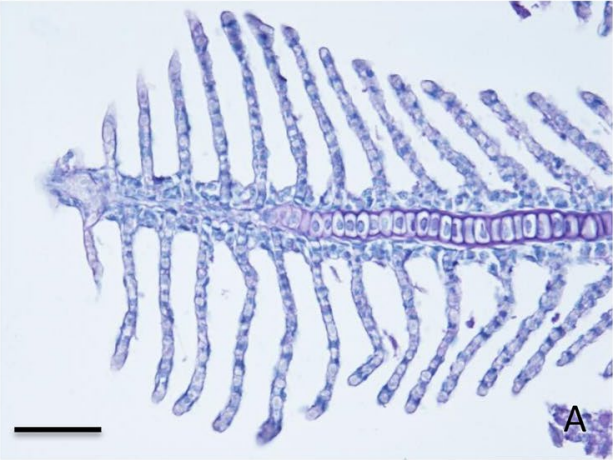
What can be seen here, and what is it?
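Gill filament with its lamellae, cut lengthwise. A central axis runs horizontally and carries a supporting rod made of a single row of box-like cells with purple-rimmed walls and pale interiors. The axis is covered by several layers of small cells with blue nuclei. Thin lamellae rise at regular intervals from both sides of the axis, long, parallel and clearly separated from one another by open spaces. Each lamella is a slim, finger-like fold bounded by a thin layer of flattened cells, with a few nuclei along its length. The tip of the filament, at the left, is blunt and lightly pink.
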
